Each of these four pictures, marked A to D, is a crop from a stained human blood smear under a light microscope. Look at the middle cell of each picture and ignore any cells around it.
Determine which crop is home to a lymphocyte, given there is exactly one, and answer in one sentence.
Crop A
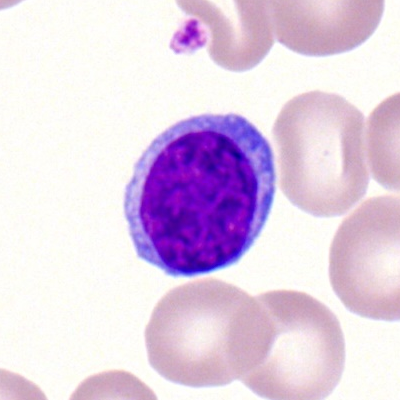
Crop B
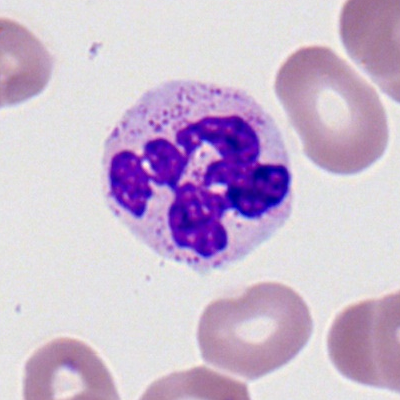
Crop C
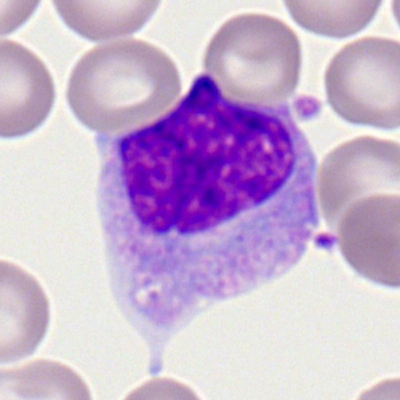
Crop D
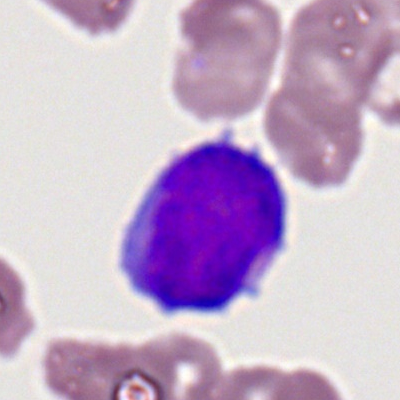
It is the cell in crop A that is a lymphocyte.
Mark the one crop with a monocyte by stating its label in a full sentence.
The crop bearing a monocyte is crop C.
